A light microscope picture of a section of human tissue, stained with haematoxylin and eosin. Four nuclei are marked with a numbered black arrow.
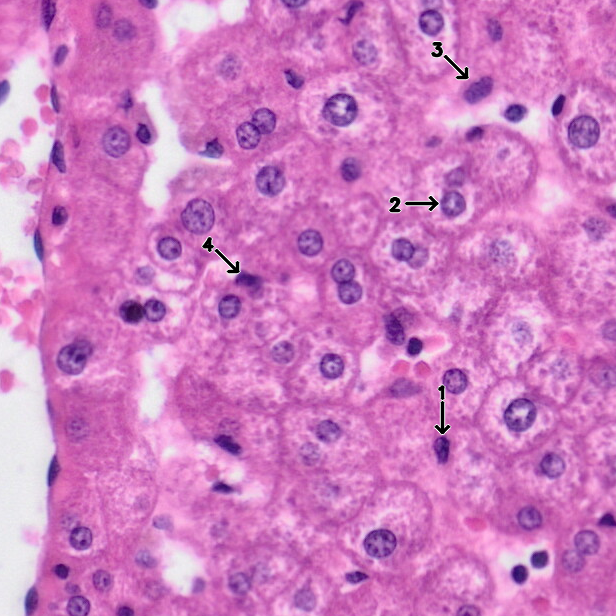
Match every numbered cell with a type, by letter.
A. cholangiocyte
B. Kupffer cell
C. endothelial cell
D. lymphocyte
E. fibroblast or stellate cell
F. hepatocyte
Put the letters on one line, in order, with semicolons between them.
E; F; B; E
